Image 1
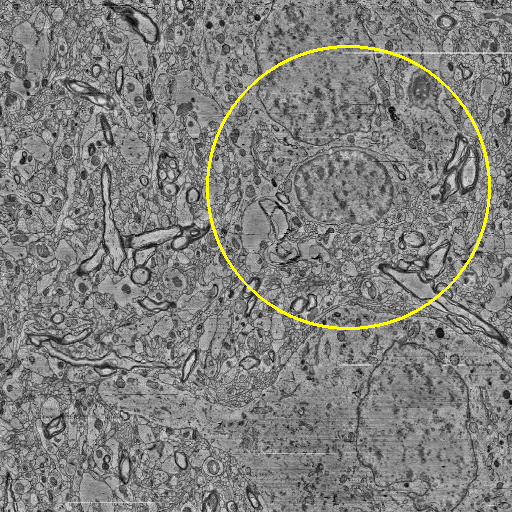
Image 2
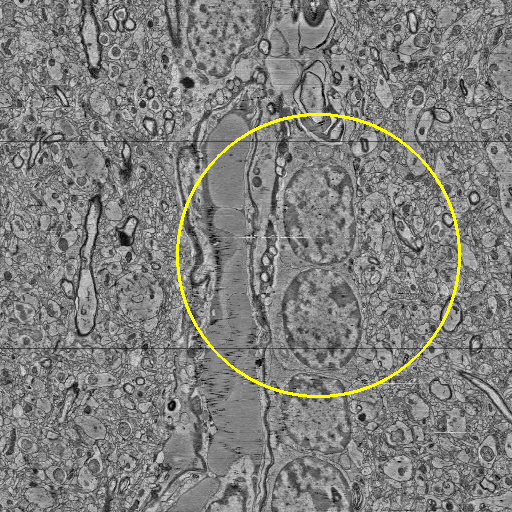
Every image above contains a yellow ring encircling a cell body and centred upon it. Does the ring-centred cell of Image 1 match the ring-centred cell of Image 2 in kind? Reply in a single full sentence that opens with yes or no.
Yes, the cell at the ring's centre in Image 1 is the same kind as that in Image 2.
